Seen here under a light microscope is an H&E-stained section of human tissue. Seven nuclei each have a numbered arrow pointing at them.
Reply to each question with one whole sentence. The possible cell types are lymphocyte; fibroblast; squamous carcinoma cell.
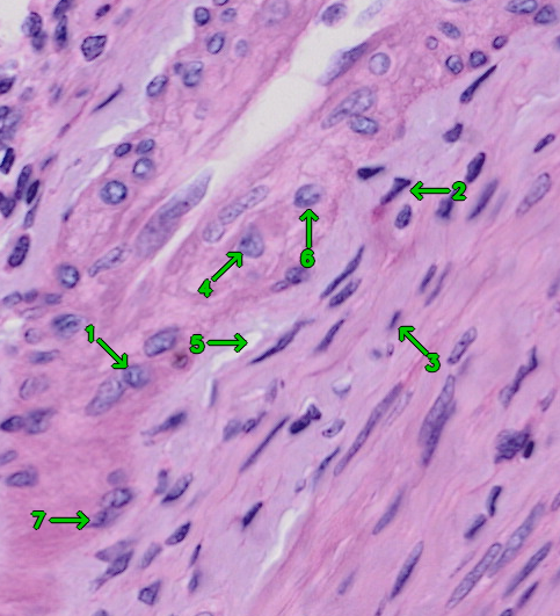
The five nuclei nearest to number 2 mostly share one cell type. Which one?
Of the five nuclei nearest to number 2, most belong to lymphocytes.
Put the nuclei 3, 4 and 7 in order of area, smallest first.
The order from the smallest nucleus to the largest is 3, 7, 4.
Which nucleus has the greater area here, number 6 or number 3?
The larger nucleus is 6, at roughly 4 times the area of 3.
